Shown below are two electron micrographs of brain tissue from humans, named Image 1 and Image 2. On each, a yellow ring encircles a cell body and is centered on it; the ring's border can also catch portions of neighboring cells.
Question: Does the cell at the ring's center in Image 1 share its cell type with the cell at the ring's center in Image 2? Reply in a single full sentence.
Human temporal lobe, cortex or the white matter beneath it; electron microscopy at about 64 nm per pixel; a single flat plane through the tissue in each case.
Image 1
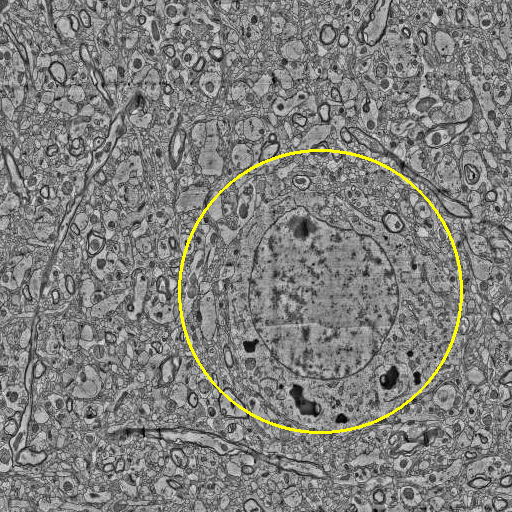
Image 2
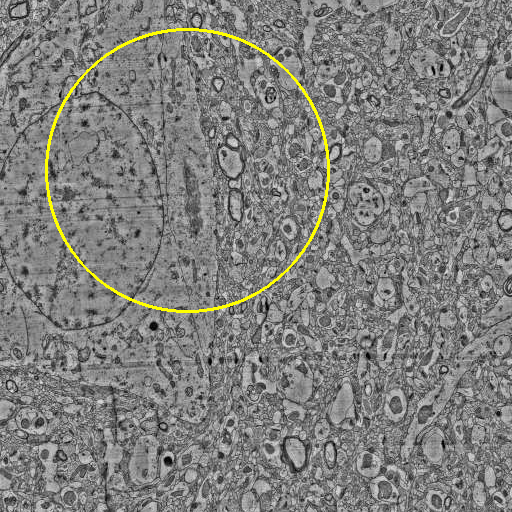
No, the two cells at the ring centers, in Image 1 and Image 2, are of two cell types.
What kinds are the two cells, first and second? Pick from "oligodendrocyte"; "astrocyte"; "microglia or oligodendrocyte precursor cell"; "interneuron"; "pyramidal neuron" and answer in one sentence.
The second picture holds a microglial cell or oligodendrocyte precursor cell in its ring, and the first holds a pyramidal neuron.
